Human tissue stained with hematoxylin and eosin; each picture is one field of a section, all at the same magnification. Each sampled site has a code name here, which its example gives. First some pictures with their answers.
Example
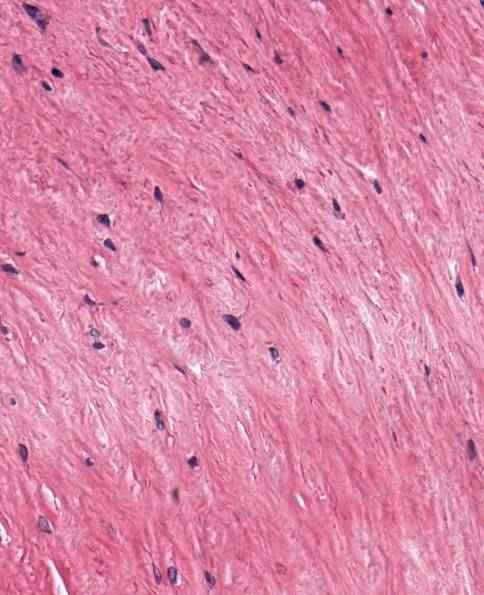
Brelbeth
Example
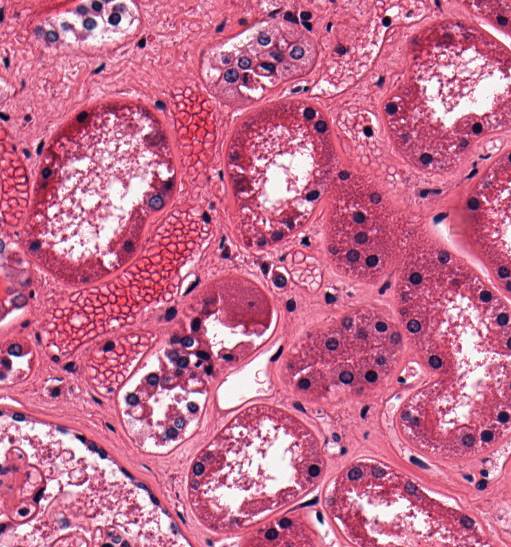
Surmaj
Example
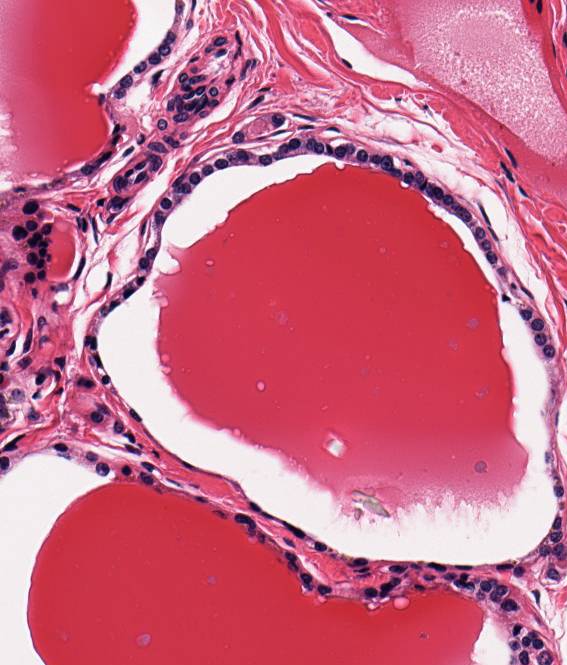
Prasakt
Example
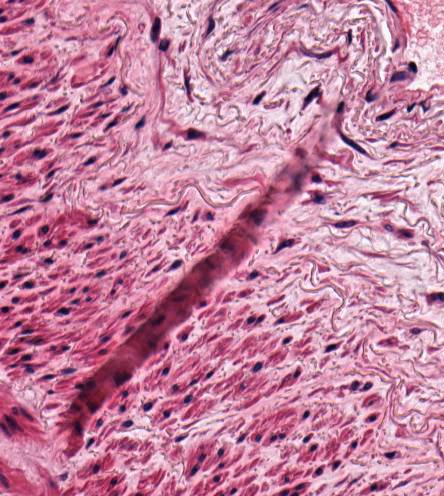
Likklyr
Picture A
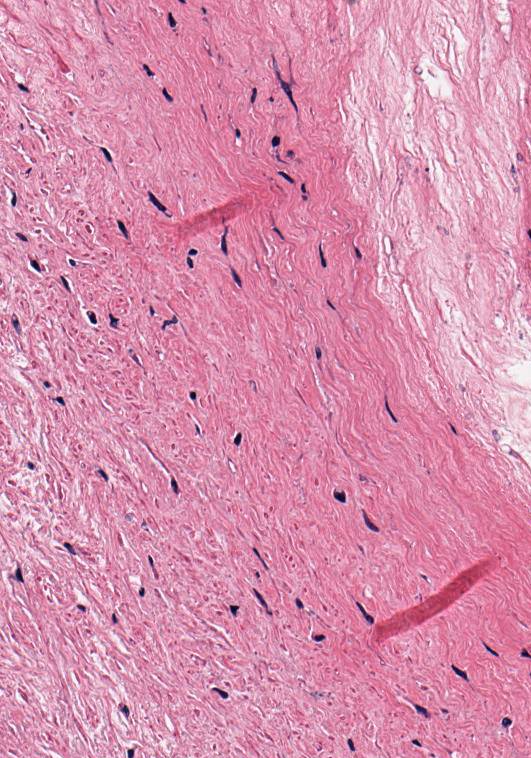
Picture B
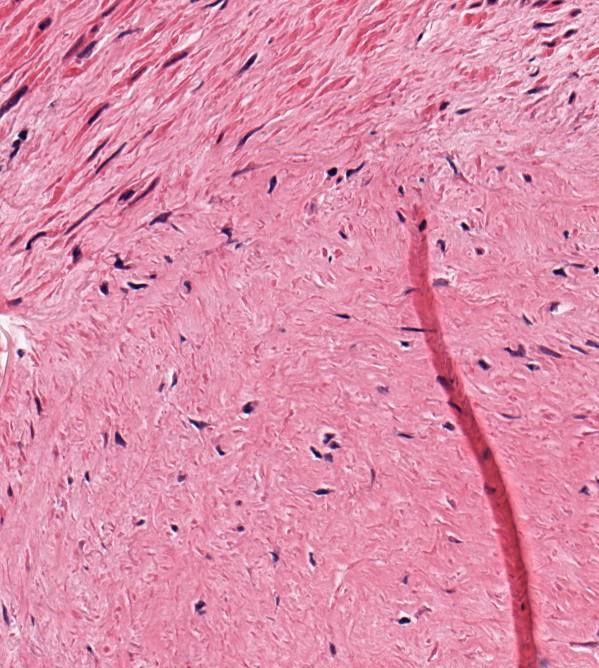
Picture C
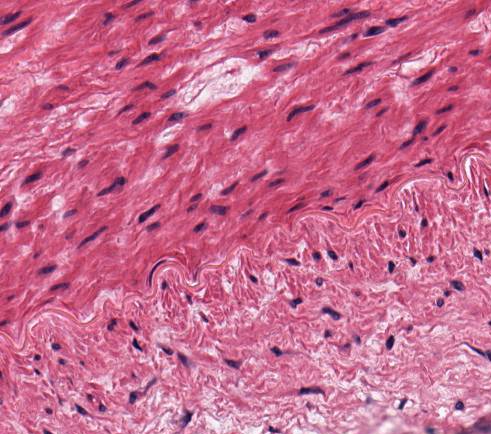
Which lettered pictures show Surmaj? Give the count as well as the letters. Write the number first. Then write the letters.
0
